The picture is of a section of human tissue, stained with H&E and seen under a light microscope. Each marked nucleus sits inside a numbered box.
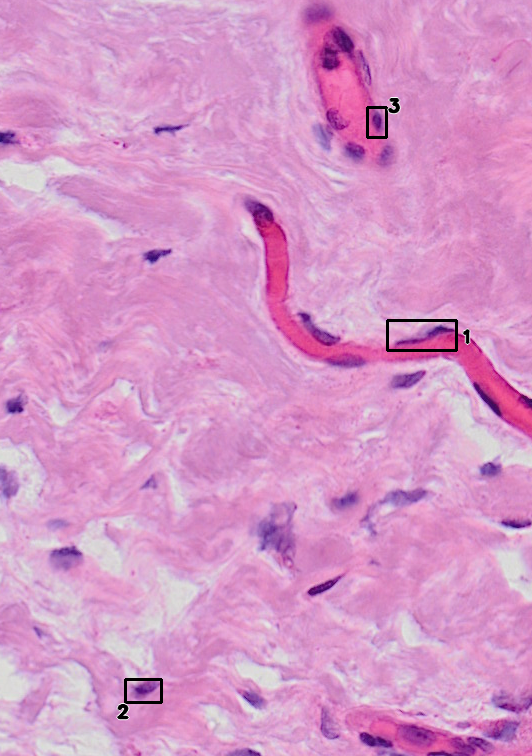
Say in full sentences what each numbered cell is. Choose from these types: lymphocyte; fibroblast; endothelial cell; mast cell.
Cells 1 and 3 are endothelial cells. Cell 2 is a fibroblast.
